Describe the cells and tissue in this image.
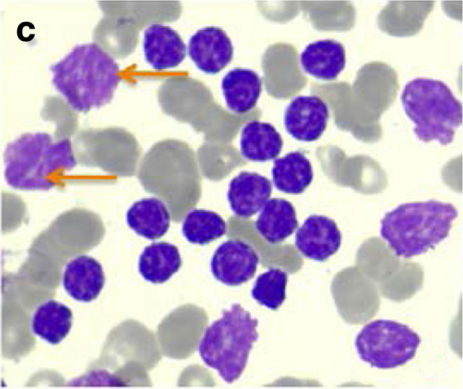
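Peripheral blood smear with many small lymphocytes scattered among pale grey red cells. The lymphocytes have round, dark purple nuclei with coarsely clumped chromatin and only a thin rim of cytoplasm. Several larger, paler, flattened nuclear remnants with smeared lilac chromatin and no cytoplasm lie among them, smudge cells.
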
